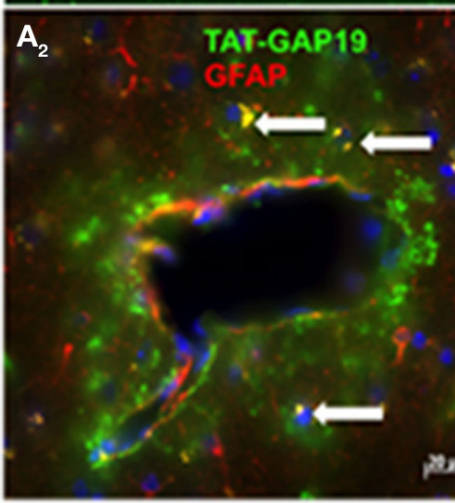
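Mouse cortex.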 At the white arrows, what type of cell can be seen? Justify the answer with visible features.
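The arrows point to small cells where red and green overlap as yellow. The yellow spots sit beside round blue nuclei in the tissue around the vessel.
Conclusion: astrocytes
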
